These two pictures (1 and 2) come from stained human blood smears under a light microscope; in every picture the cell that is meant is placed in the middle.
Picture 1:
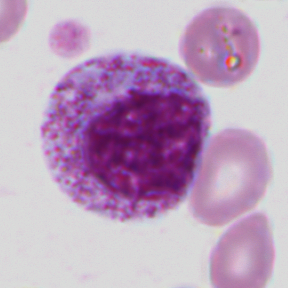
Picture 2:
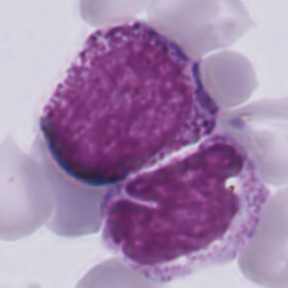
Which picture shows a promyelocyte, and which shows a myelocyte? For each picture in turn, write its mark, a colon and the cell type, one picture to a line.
1: myelocyte
2: promyelocyte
